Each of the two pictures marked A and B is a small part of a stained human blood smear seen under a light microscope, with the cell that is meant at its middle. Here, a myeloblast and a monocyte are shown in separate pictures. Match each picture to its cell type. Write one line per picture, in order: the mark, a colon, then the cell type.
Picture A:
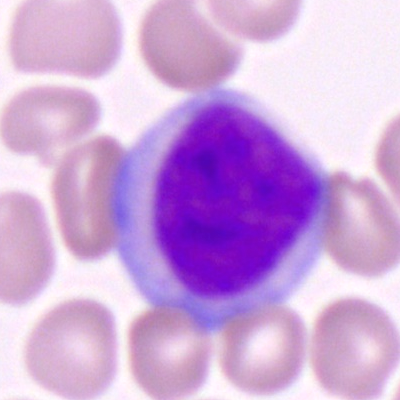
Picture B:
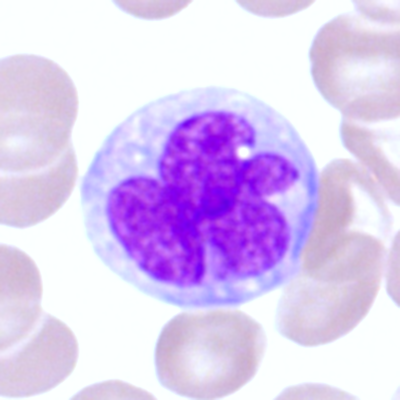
A: myeloblast
B: monocyte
